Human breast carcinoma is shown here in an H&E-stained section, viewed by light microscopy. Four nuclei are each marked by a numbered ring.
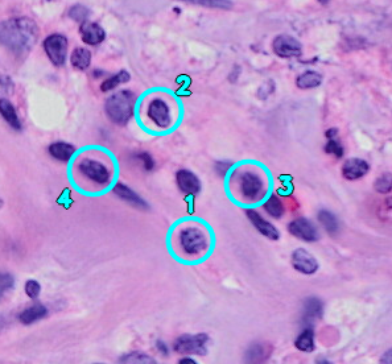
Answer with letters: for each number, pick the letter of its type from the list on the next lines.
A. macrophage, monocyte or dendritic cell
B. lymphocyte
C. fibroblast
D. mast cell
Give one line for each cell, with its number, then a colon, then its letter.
1: D
2: B
3: B
4: B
